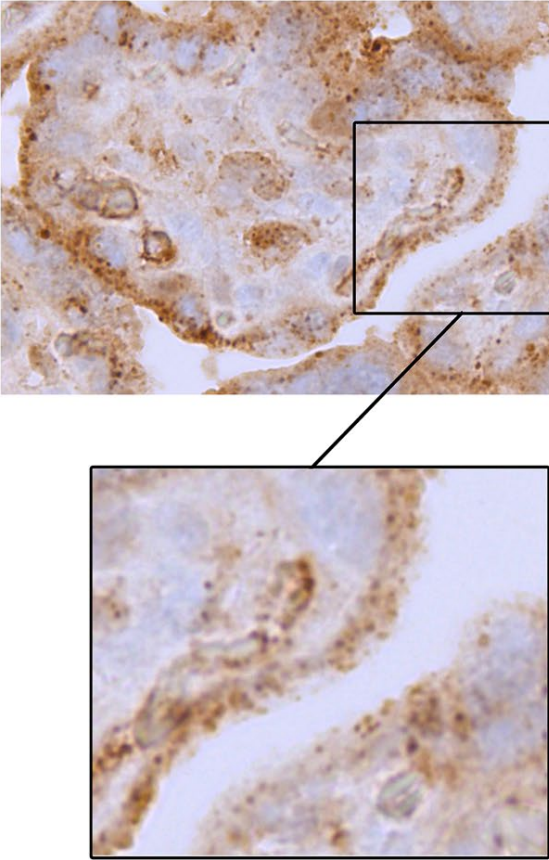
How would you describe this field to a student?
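Sections of placental villi are seen, separated by clear spaces, each lined by a continuous outer covering layer. Fine brown granules crowd this outer layer along the surface facing the spaces, while the blue nuclei lie scattered within it without visible cell borders between them. The villus interiors are paler, with fewer brown granules and some small vessel-like profiles. This outer multinucleated covering is the syncytiotrophoblast, with granular stain in its cytoplasm.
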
